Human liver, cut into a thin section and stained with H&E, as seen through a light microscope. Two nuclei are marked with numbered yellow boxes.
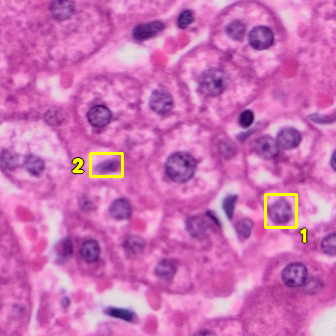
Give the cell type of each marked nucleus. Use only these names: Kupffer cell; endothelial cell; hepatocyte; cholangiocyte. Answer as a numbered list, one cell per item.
1. hepatocyte
2. Kupffer cell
